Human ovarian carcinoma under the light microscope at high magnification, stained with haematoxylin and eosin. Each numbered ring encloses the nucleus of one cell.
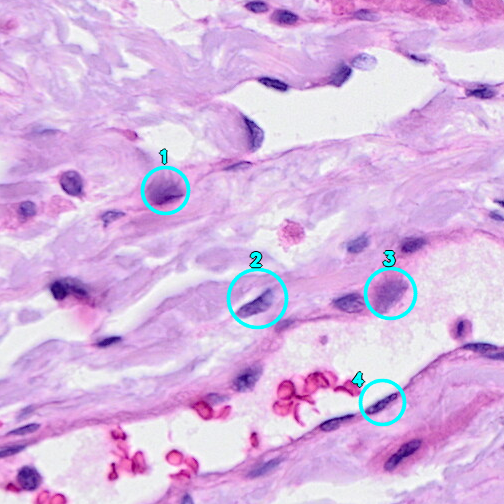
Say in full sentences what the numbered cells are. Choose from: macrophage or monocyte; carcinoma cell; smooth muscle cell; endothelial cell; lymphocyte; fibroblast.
Cells 1, 3 and 4 are endothelial cells. Cell 2 is a fibroblast.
